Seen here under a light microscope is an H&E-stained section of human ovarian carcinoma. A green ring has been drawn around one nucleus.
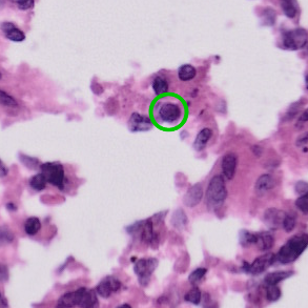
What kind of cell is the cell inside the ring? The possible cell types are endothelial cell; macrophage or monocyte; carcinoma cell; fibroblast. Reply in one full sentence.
By its classification, the cell inside the ring is a macrophage or monocyte.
